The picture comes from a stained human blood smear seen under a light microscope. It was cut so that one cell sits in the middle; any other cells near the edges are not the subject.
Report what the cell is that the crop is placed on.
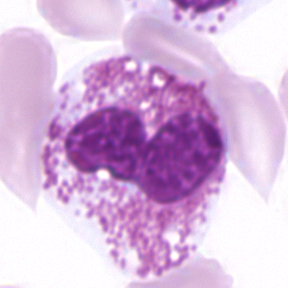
eosinophil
